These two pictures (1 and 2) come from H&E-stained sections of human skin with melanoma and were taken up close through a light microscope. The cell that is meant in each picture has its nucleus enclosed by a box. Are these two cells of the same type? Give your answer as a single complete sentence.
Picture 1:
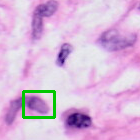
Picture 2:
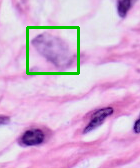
No, the types are not the same, since picture 1 shows a “macrophage or monocyte” and picture 2 a “fibroblast or myofibroblast”.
